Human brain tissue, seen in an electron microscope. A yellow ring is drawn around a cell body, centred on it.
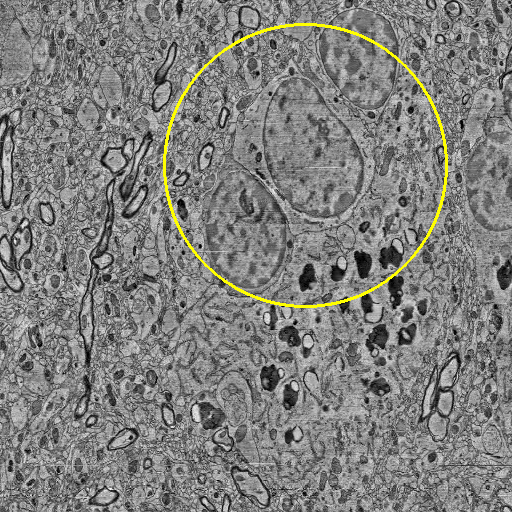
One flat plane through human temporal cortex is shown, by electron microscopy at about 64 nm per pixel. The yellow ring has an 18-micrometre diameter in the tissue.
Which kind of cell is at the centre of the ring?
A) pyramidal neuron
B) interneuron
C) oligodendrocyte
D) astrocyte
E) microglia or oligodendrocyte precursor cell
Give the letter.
E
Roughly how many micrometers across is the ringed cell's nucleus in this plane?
At approximately 9 by 6 micrometres, the nucleus is clearly longer than it is wide in this plane.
